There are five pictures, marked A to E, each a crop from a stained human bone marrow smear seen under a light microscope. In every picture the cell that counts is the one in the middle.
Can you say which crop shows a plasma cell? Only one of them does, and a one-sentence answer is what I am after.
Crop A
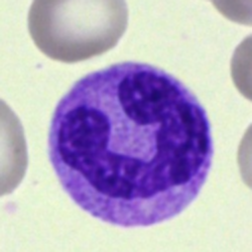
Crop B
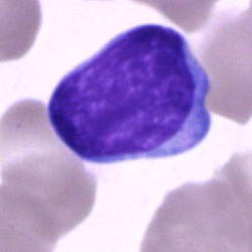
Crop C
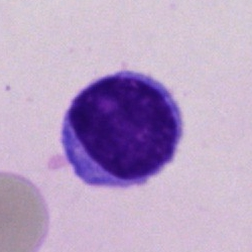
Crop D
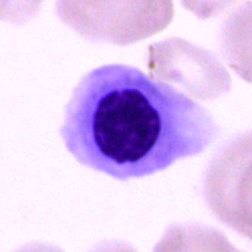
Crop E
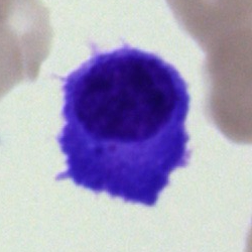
Crop E is the single crop that shows a plasma cell.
